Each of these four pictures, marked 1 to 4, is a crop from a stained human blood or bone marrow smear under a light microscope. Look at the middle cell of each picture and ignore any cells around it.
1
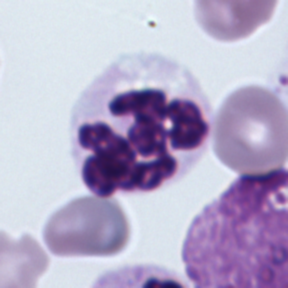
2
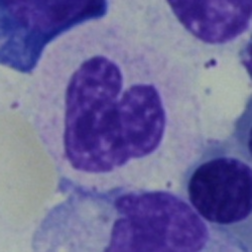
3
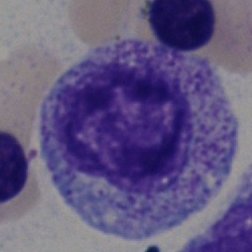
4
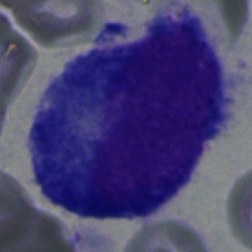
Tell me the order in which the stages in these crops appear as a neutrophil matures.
4, 3, 2, 1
